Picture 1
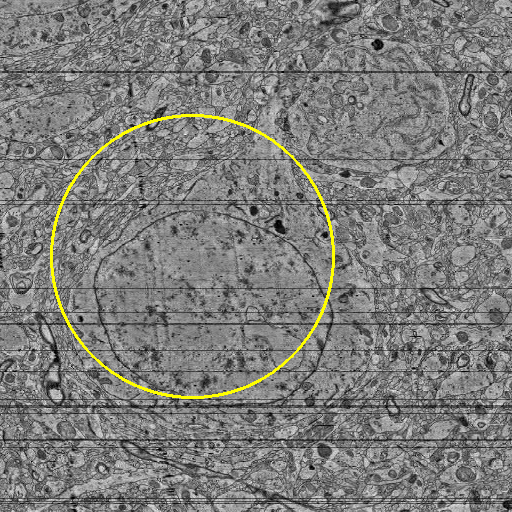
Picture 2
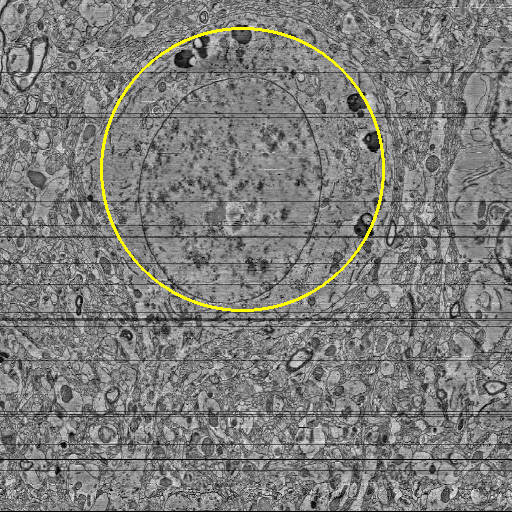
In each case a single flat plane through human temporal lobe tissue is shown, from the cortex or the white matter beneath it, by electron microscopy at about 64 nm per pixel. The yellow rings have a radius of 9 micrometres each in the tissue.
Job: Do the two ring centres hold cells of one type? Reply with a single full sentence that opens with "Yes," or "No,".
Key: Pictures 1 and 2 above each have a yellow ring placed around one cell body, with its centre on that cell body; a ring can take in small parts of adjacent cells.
Yes, the cells at the two ring centres are of one single type.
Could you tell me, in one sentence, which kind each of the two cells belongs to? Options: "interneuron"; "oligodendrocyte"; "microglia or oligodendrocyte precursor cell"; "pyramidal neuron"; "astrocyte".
Each cell, in the first picture and the second, is a pyramidal neuron.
